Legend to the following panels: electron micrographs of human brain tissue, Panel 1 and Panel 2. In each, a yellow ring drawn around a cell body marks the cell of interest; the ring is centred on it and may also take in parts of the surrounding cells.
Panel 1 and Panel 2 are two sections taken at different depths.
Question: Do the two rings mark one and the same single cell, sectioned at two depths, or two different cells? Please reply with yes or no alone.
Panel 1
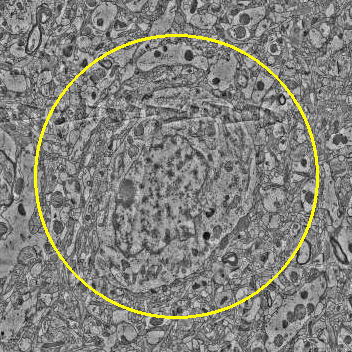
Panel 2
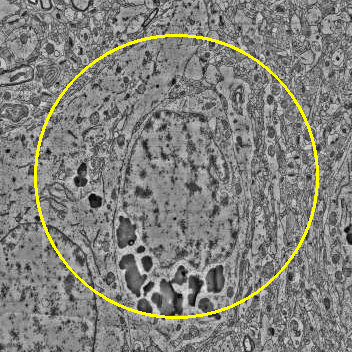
no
